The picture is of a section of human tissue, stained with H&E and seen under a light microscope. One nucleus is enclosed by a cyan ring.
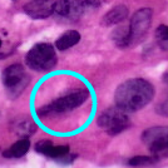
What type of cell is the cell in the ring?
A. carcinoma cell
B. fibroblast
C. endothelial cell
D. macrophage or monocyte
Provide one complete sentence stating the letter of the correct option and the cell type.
Option C is correct; the cell in the ring is an endothelial cell.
